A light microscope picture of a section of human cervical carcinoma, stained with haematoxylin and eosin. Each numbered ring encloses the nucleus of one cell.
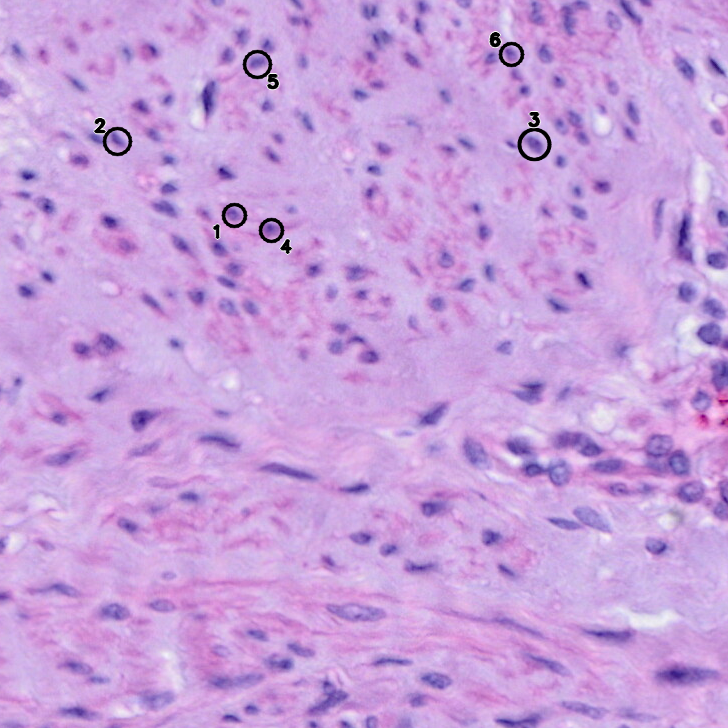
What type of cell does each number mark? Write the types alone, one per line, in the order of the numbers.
smooth muscle cell
fibroblast
fibroblast
smooth muscle cell
smooth muscle cell
smooth muscle cell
